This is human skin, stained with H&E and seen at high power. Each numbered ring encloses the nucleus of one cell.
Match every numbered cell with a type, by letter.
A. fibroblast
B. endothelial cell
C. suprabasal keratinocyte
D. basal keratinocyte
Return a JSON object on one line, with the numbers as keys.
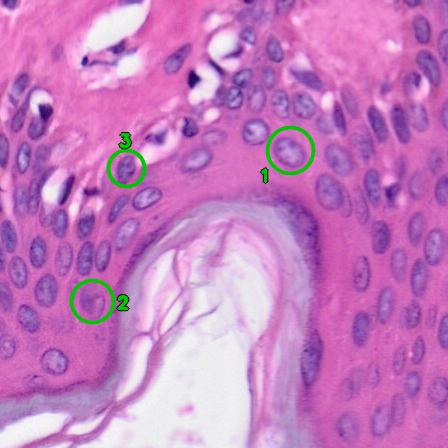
{"1": "C", "2": "C", "3": "D"}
